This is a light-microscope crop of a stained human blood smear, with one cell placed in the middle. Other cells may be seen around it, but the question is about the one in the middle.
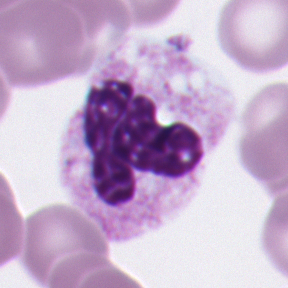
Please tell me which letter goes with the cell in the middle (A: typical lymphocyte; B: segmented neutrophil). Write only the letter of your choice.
B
